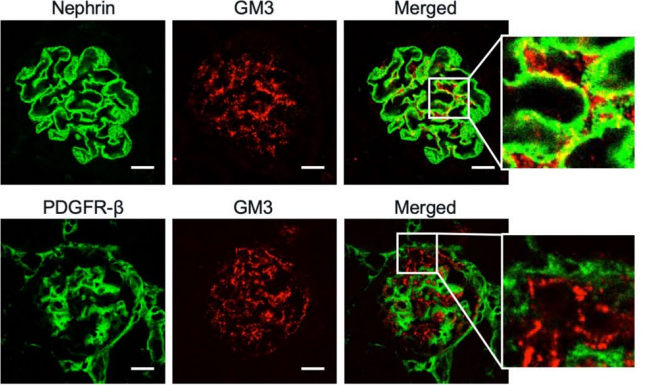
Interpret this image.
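These are kidney glomeruli seen in cross section, each a rounded tuft of folded capillary loops. In the upper row the green stain traces thin, continuous, wavy lines along the outer contours of the loops, giving a garland-like pattern. In the lower row the green stain is more diffuse and fills the interior of the tuft and its surroundings rather than lining the loop edges. The red stain appears as small dots and short streaks distributed throughout the tuft in both rows.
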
